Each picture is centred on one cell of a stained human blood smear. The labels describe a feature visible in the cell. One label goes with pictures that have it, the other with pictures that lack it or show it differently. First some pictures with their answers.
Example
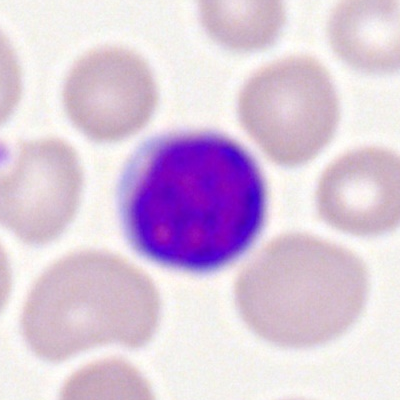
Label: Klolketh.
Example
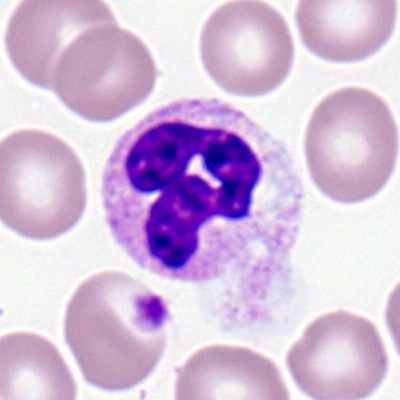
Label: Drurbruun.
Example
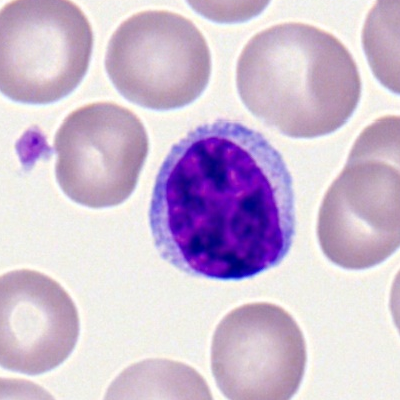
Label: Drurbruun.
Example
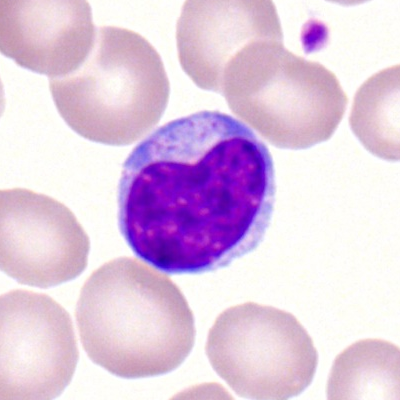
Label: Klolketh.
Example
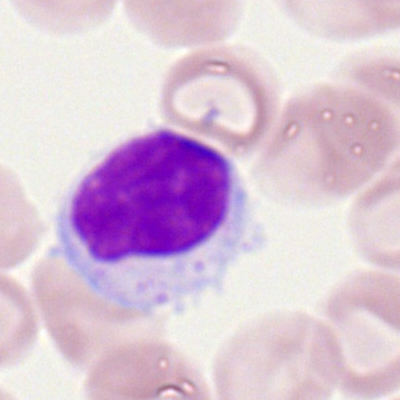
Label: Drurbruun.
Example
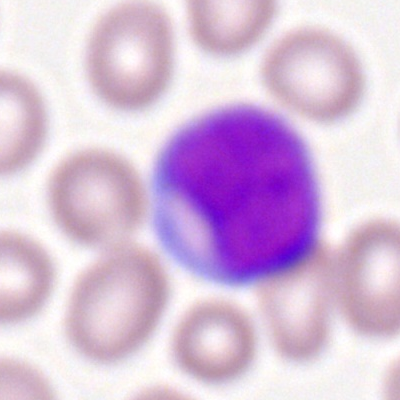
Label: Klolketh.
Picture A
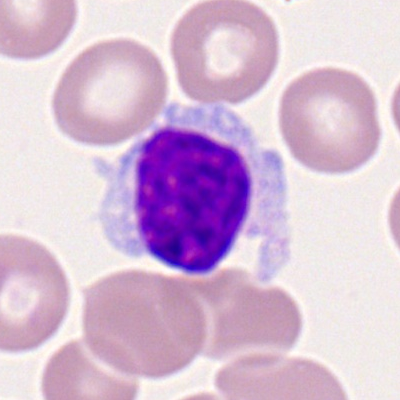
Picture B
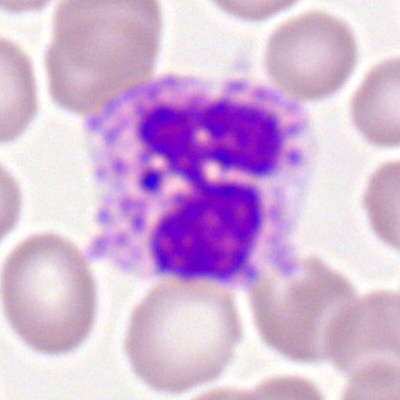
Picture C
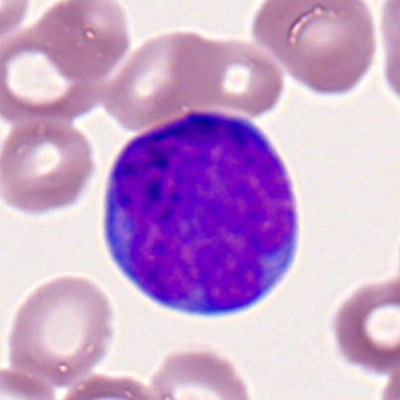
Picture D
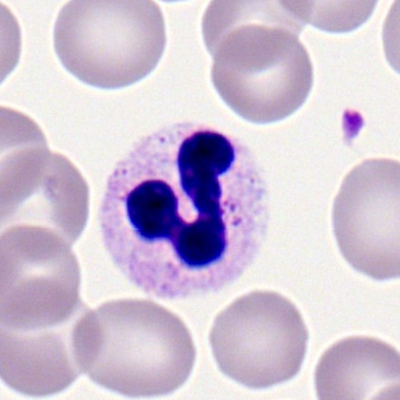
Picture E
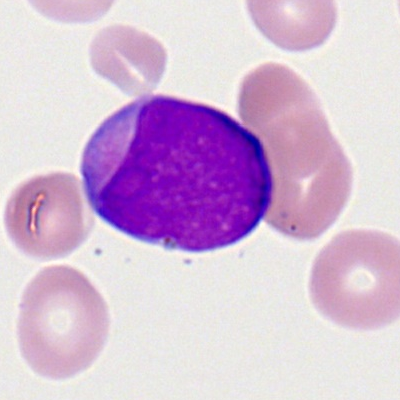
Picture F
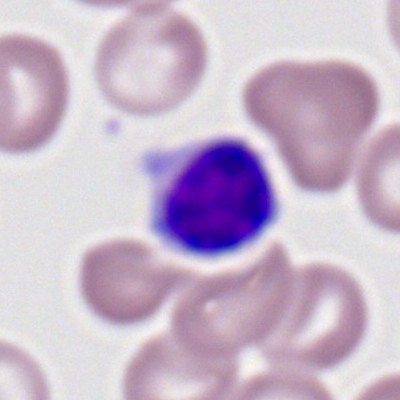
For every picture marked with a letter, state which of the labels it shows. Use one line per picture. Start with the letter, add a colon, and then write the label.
A: Drurbruun.
B: Drurbruun.
C: Klolketh.
D: Klolketh.
E: Klolketh.
F: Drurbruun.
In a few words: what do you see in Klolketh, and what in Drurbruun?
Klolketh, smooth outline; Drurbruun, ragged outline or projections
